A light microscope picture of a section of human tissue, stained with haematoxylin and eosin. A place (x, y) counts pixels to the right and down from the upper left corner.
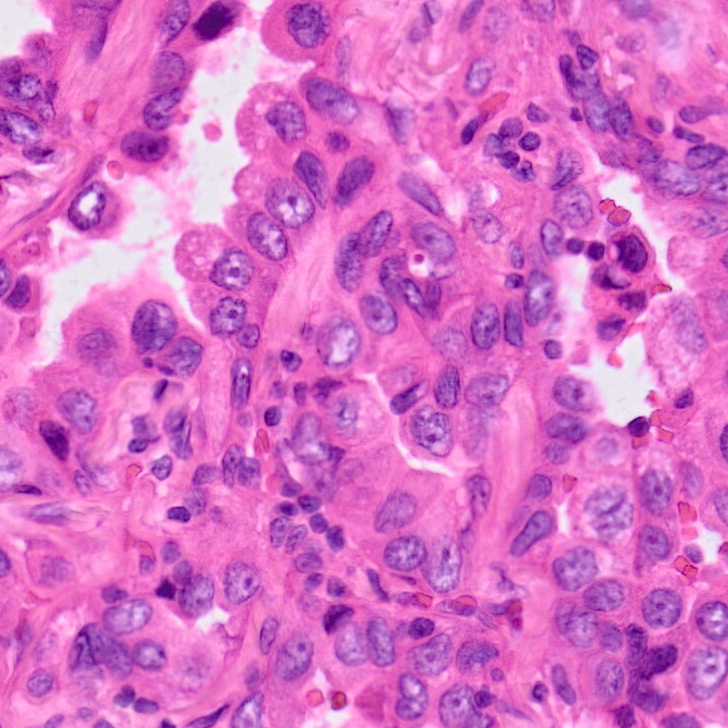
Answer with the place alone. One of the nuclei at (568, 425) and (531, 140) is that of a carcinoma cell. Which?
(568, 425)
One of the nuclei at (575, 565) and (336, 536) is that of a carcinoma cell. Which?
(575, 565)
